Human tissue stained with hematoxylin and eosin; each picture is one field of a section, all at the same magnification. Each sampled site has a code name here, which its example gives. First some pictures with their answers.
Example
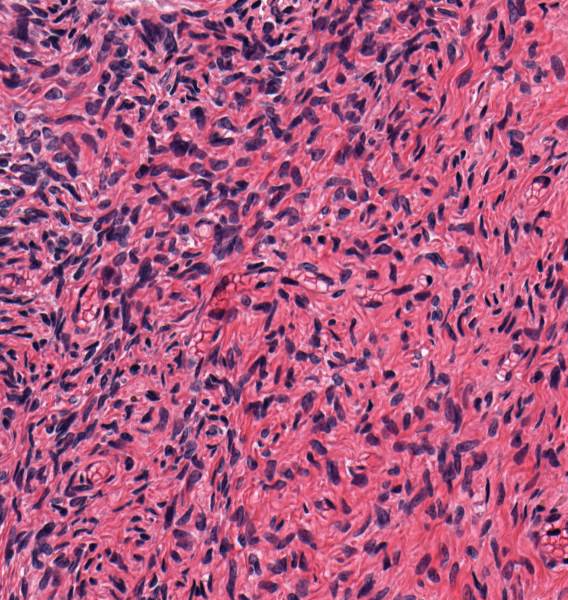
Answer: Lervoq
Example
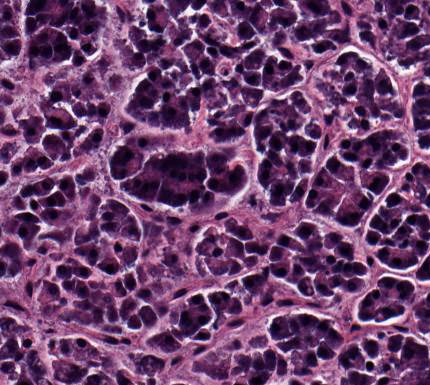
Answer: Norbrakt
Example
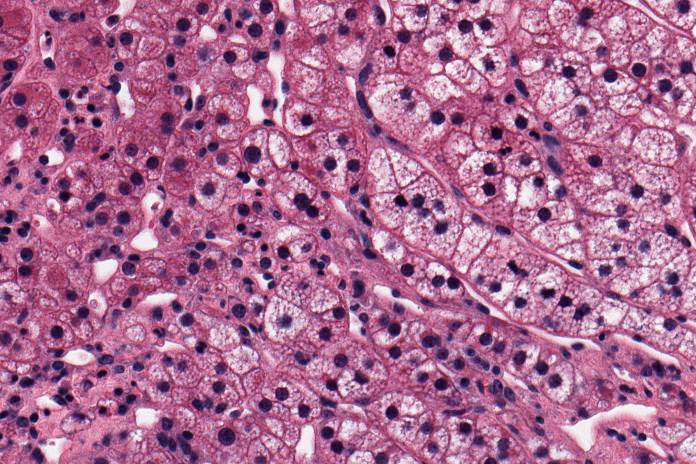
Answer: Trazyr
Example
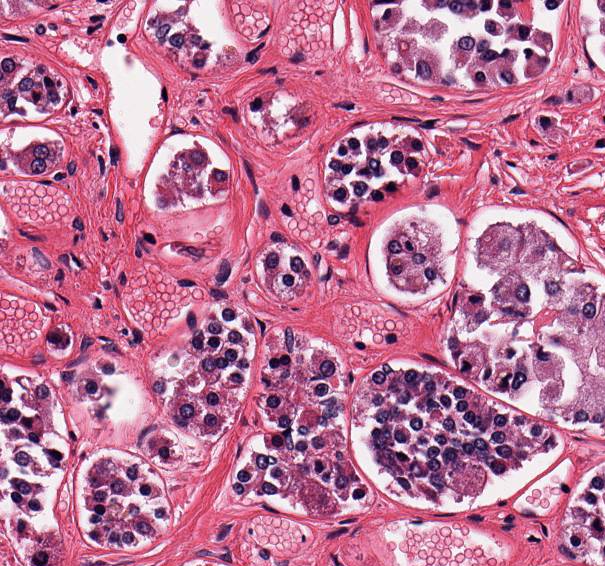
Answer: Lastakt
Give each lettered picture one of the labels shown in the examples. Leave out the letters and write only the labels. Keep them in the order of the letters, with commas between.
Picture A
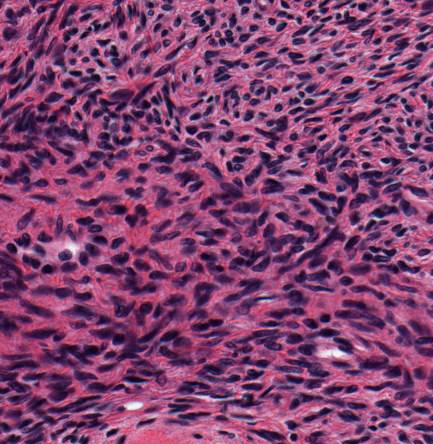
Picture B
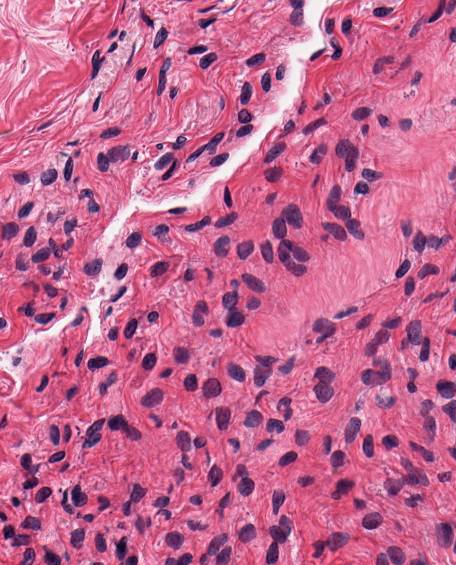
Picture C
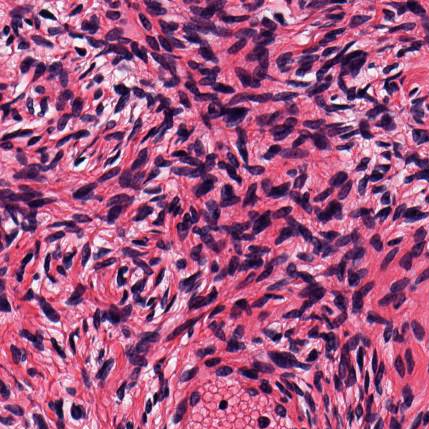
Lervoq, Lervoq, Lervoq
